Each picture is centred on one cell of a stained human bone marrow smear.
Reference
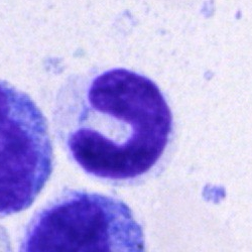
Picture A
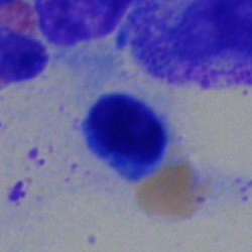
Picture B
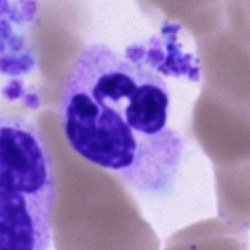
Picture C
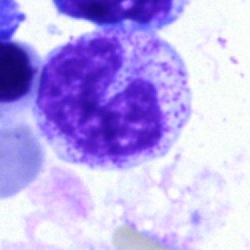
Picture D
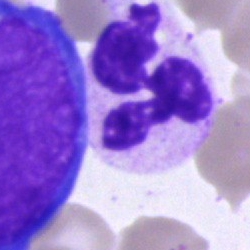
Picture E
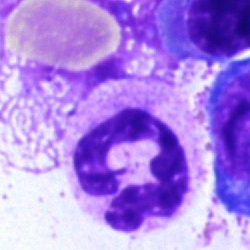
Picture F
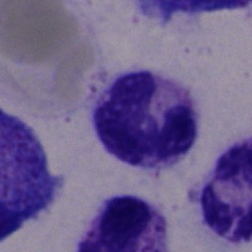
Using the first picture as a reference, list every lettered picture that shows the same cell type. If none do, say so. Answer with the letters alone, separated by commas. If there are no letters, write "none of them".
C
